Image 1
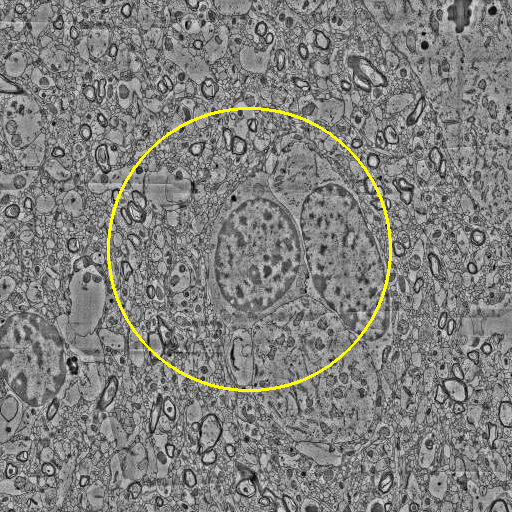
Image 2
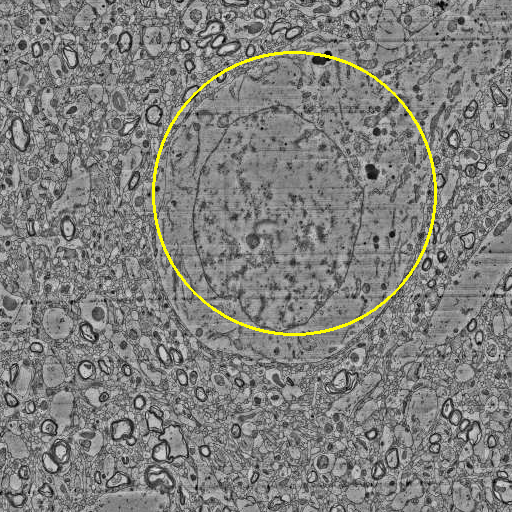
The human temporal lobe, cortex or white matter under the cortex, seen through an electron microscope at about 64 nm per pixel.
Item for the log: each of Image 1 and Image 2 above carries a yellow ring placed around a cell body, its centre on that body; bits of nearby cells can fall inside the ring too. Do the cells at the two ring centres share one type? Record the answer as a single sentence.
No, the two cells at the ring centres in Image 1 and Image 2 are of two types.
